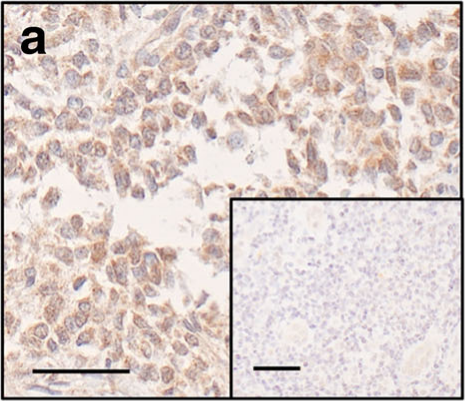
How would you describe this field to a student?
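Tumor tissue of densely packed polygonal to rounded cells with oval nuclei, arranged in sheets separated by clear spaces. The inset at lower right shows a field of cells with only blue nuclei and no brown color.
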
